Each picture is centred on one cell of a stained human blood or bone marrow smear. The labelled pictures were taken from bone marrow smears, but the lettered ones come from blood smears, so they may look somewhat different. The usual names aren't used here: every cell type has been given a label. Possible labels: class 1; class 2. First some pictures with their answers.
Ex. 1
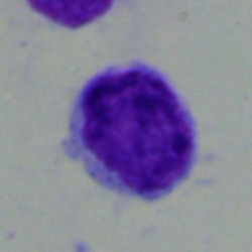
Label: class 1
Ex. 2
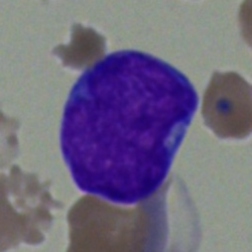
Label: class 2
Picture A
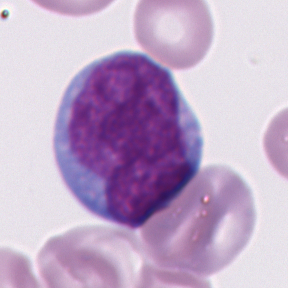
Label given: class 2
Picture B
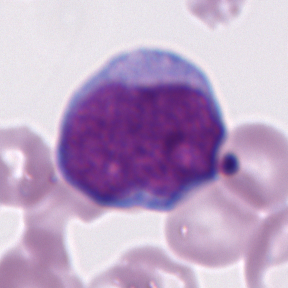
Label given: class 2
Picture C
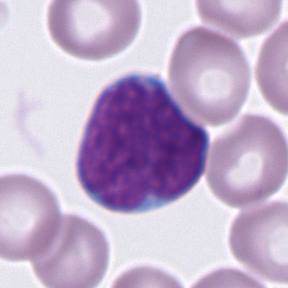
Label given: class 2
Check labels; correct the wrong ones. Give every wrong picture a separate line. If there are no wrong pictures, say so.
None of the labels needs changing.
